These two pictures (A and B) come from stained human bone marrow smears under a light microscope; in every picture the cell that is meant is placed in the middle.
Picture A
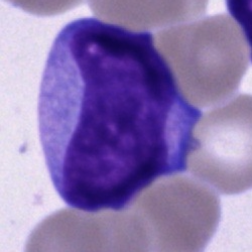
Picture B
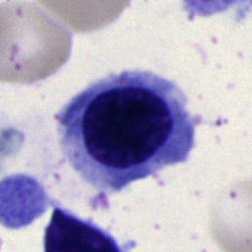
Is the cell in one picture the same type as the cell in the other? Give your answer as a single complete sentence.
No, picture A shows a blast and picture B shows an erythroblast.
